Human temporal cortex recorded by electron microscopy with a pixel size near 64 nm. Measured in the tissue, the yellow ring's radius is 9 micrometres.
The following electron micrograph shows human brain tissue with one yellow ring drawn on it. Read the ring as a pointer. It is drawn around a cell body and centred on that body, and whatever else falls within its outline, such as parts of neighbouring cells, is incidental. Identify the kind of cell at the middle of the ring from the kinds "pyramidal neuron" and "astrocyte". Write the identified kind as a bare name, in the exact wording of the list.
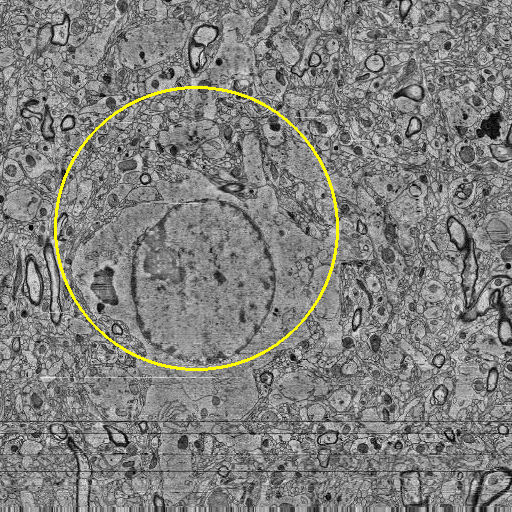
astrocyte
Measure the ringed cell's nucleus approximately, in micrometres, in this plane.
Approximately 11 x 9 micrometres in this plane.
